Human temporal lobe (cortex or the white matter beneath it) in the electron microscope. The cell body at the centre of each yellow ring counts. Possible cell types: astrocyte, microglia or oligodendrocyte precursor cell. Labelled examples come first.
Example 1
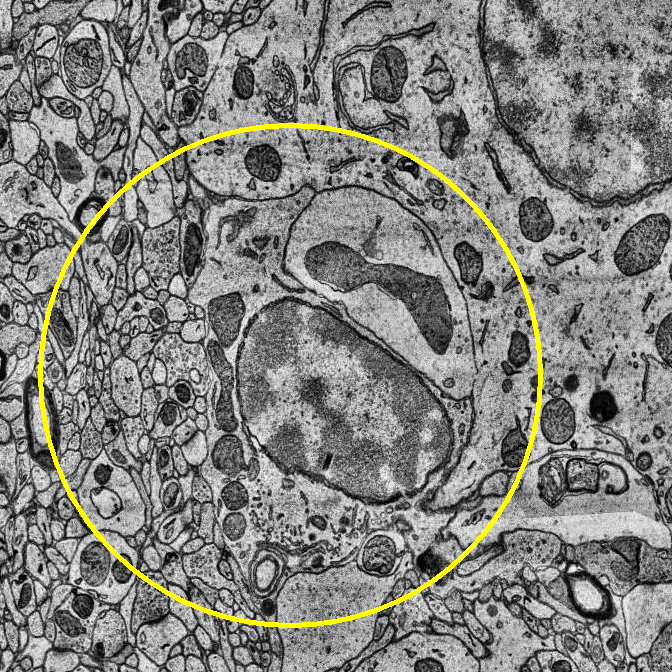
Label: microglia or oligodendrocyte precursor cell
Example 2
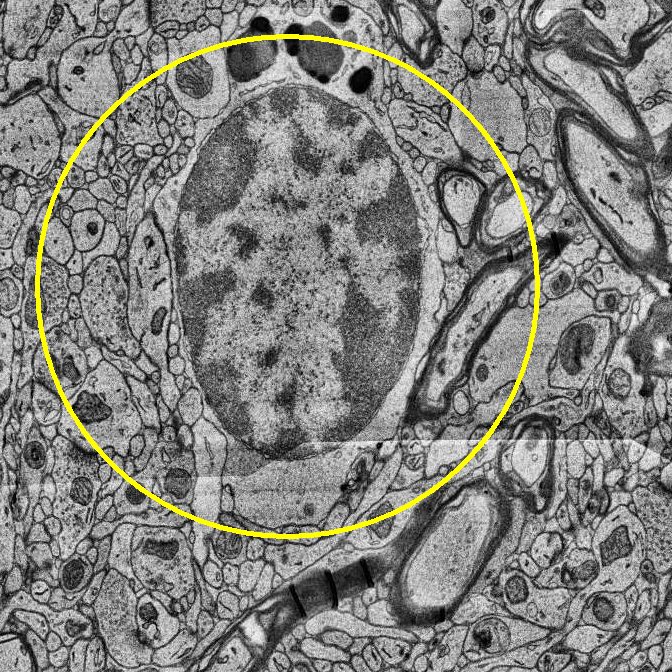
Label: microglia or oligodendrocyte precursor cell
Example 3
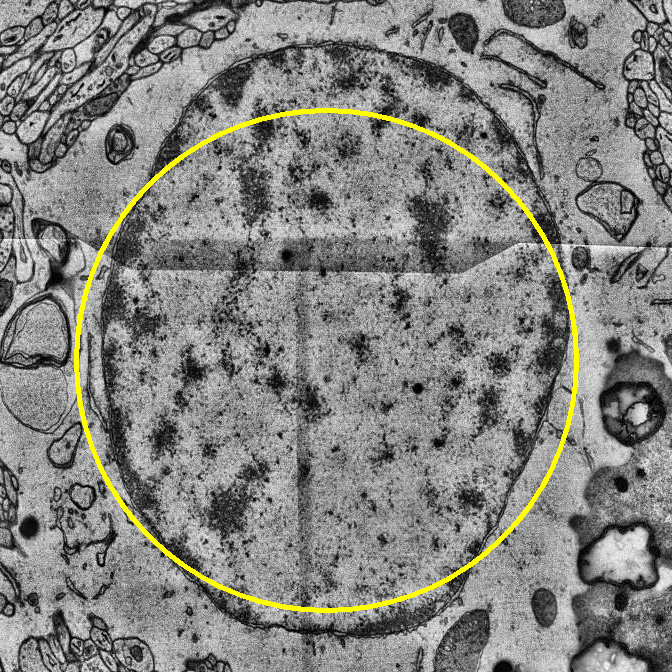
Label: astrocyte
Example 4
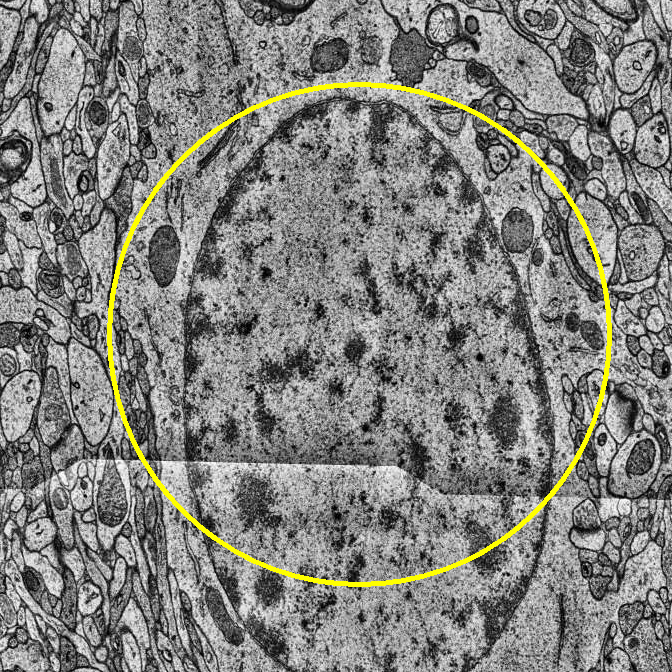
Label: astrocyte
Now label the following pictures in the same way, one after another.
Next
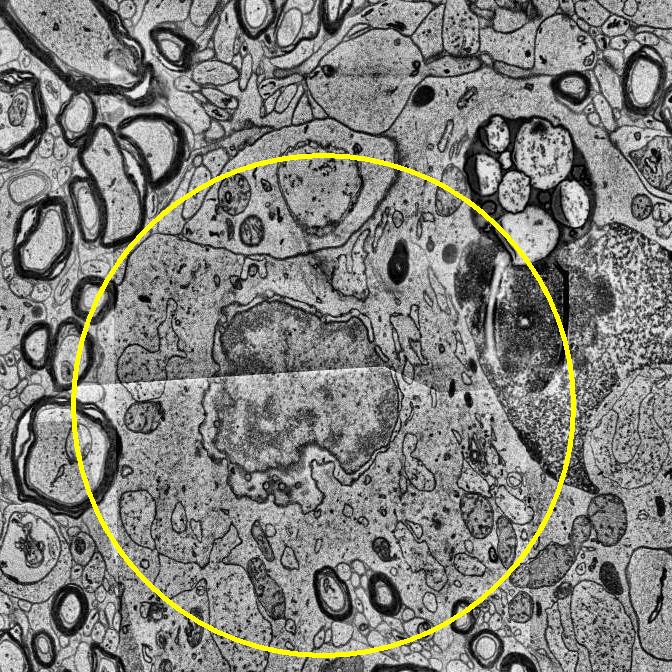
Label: astrocyte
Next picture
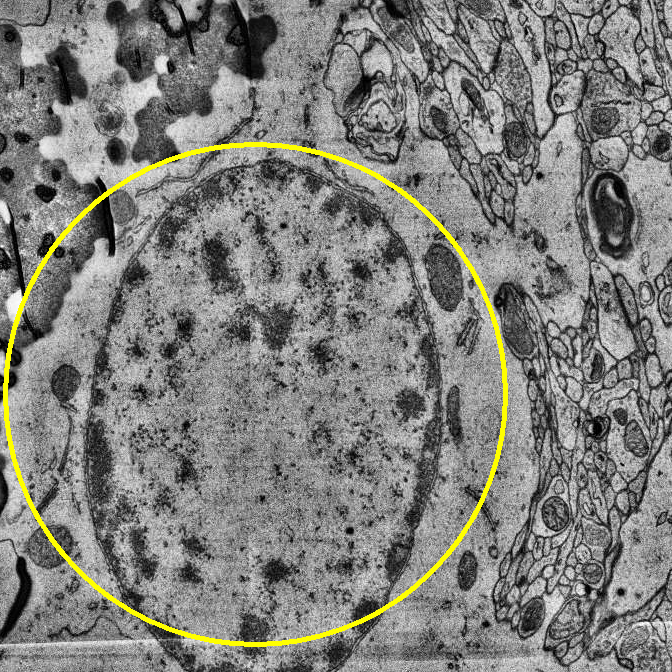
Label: astrocyte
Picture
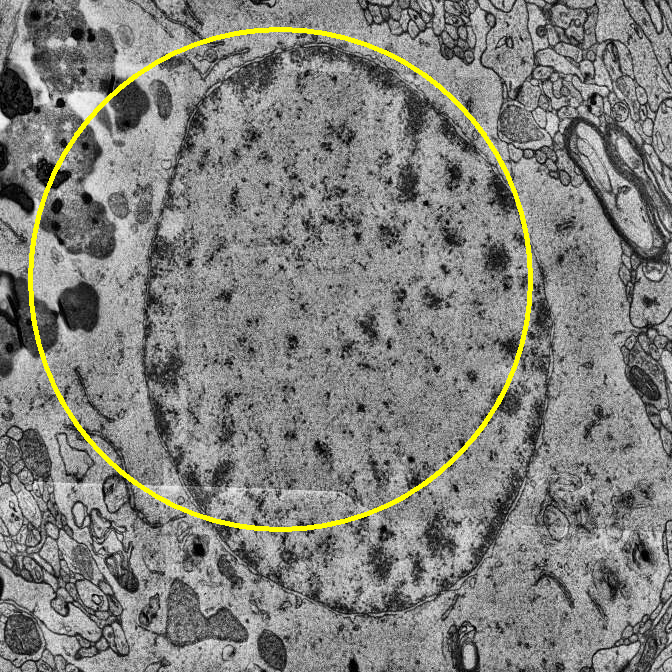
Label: astrocyte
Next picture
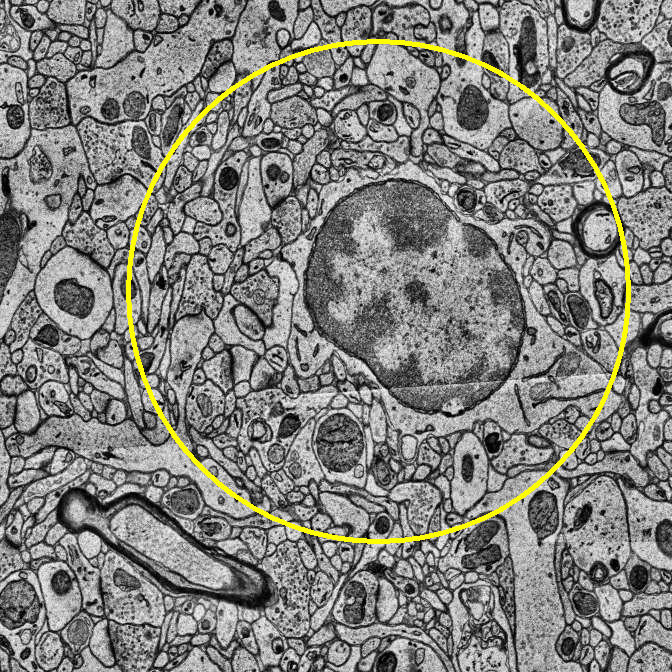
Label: microglia or oligodendrocyte precursor cell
